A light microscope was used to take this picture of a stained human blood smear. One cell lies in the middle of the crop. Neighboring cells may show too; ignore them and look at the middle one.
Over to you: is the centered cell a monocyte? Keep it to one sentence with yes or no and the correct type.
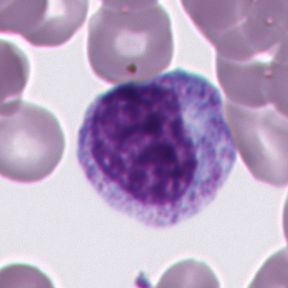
No; rather than a monocyte, the cell at the center is a metamyelocyte.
